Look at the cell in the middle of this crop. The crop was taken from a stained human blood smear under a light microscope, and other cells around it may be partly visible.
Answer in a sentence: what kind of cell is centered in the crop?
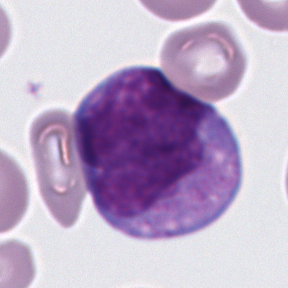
The crop's centre is taken up by an atypical promyelocyte.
